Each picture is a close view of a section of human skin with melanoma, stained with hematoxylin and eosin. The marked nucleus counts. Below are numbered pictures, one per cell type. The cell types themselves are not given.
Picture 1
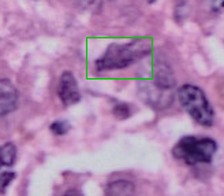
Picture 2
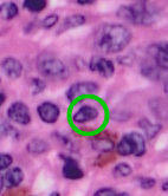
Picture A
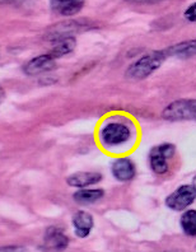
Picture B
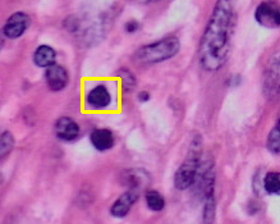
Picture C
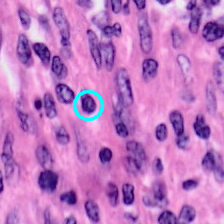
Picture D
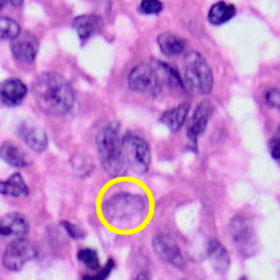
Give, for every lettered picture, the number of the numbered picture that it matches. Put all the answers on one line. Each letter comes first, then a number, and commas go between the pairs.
A 2, B 2, C 2, D 1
